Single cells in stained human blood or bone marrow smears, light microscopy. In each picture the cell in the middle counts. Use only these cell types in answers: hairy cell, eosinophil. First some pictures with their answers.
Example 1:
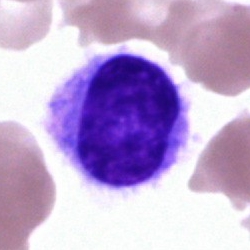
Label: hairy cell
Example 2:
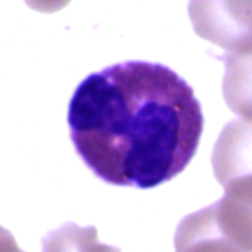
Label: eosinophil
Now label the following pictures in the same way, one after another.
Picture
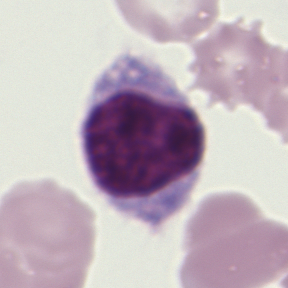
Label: hairy cell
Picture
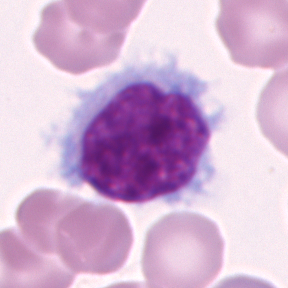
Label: hairy cell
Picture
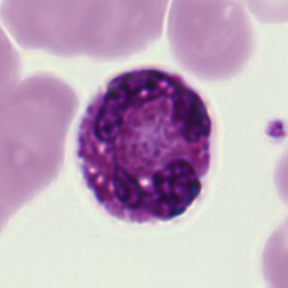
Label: eosinophil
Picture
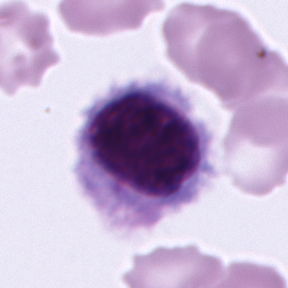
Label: hairy cell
